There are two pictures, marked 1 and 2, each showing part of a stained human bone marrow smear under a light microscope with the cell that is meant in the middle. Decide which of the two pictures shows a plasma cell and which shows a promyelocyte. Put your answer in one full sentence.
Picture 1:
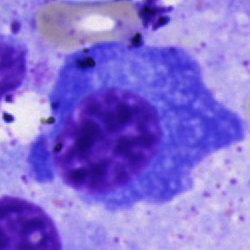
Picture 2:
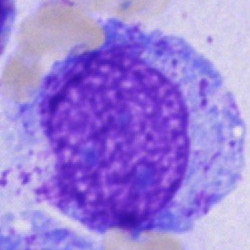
It is picture 1 that shows a plasma cell, and picture 2 that shows a promyelocyte.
